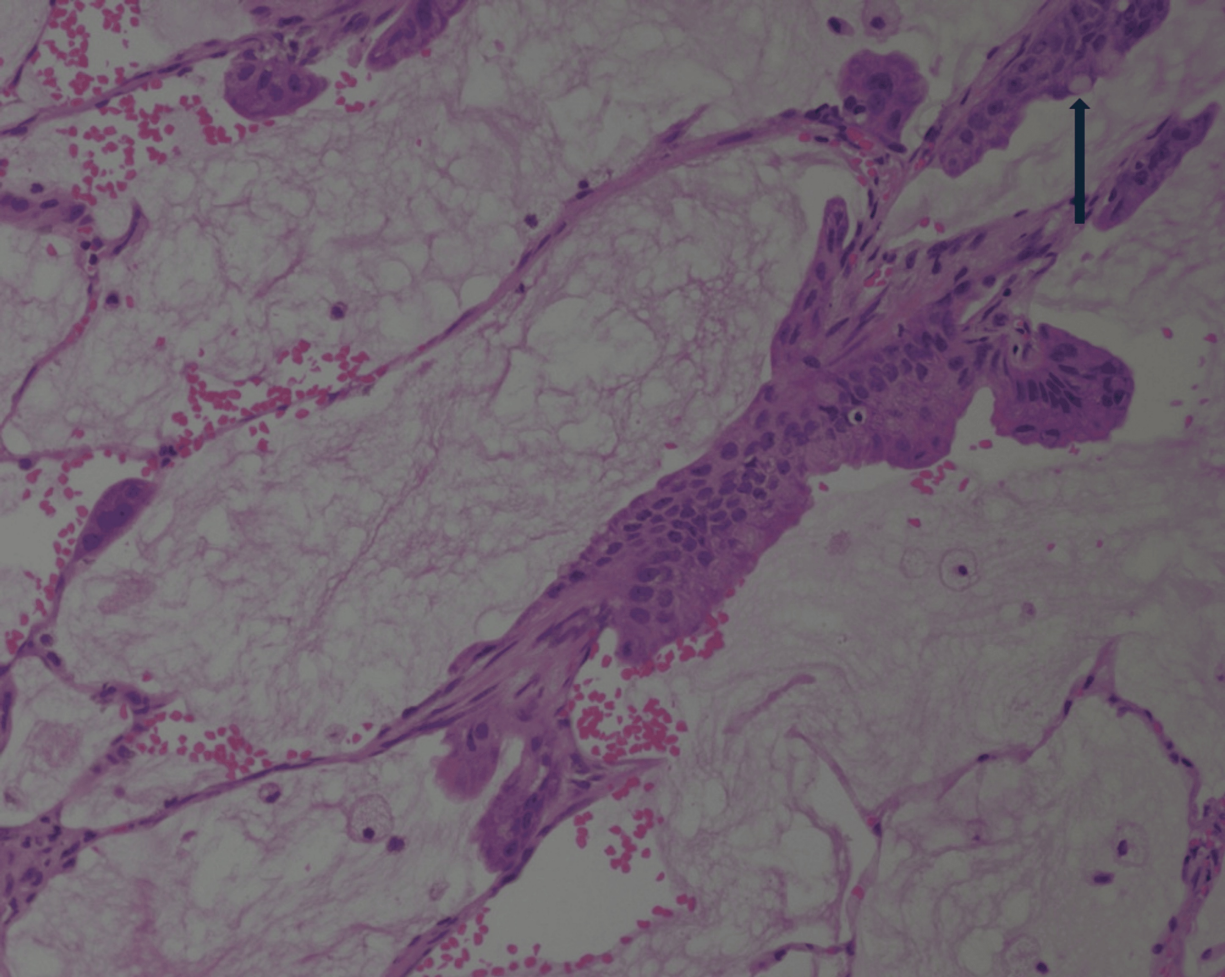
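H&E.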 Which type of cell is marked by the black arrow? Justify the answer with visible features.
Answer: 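The arrow points to a strip of epithelial cells at the upper right. A cell there holds a clear, pale cytoplasmic vacuole.
Goblet cell.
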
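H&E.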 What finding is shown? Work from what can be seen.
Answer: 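Large pools of pale, wispy, lightly stained extracellular material fill most of the field. Strips and clusters of epithelial cells line thin septa between the pools. A few single cells float within the pale material. The answer: Colloid adenocarcinoma.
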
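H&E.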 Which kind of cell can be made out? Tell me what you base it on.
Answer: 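Columnar neoplastic cells. Epithelial cells are tall, with elongated nuclei lined up side by side. The cells form crowded strips and tufts along thin septa.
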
